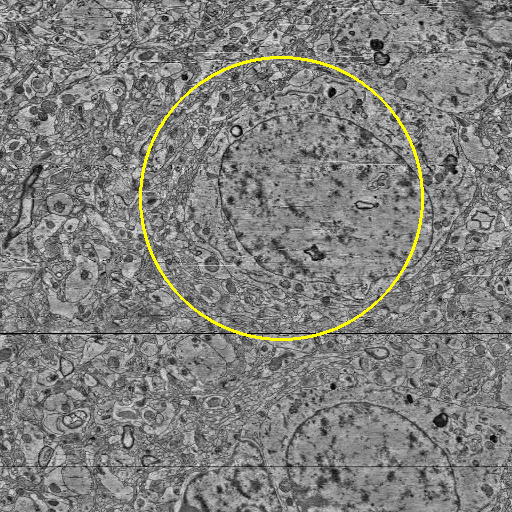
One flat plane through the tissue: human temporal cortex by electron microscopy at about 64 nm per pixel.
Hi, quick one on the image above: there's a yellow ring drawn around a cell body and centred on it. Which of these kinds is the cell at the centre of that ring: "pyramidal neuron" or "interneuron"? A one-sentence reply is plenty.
The cell at the centre of the ring is a pyramidal neuron.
